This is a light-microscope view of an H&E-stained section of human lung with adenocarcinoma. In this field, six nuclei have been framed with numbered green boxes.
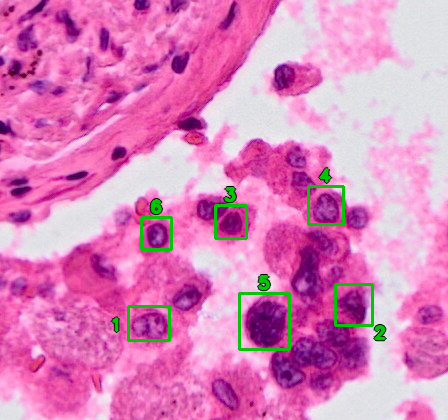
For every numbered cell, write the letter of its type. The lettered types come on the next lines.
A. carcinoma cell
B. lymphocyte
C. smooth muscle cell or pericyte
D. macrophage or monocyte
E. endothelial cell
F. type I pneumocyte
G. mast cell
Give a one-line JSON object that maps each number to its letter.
{"1": "D", "2": "A", "3": "D", "4": "D", "5": "A", "6": "D"}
